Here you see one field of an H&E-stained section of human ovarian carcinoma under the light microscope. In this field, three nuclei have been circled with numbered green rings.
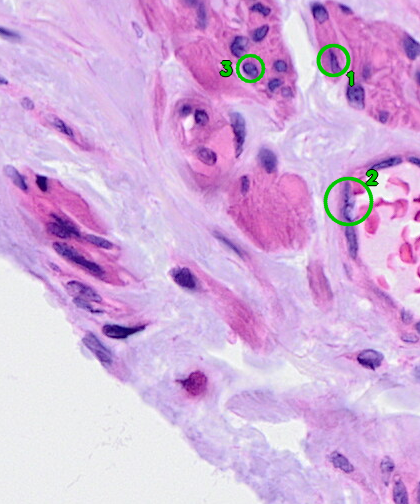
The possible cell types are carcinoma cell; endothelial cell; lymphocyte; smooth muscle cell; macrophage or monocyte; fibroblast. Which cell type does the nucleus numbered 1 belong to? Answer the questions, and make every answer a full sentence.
In this section, number 1 marks a smooth muscle cell.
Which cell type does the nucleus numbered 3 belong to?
In this section, the cell tagged 3 is a smooth muscle cell.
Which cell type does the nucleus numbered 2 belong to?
Nucleus 2 in this section belongs to an endothelial cell.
